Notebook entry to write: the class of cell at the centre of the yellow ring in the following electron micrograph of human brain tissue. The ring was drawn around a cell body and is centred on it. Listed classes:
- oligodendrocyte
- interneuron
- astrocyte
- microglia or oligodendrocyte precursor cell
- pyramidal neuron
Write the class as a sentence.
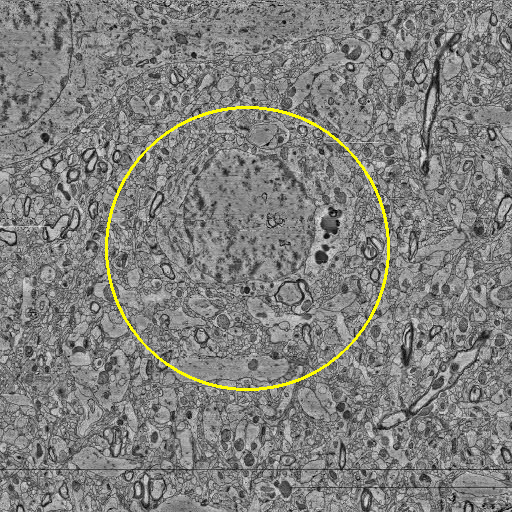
The yellow ring sits on an interneuron.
